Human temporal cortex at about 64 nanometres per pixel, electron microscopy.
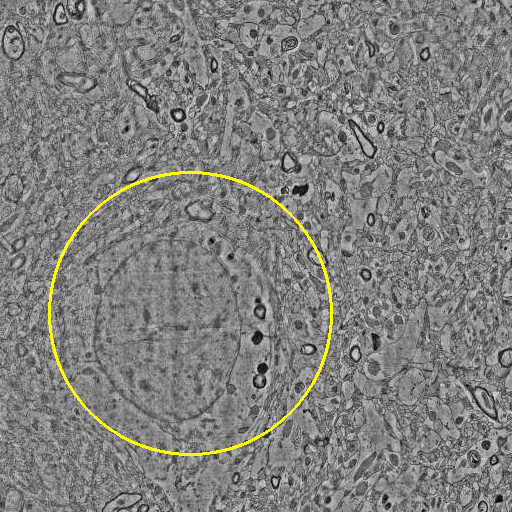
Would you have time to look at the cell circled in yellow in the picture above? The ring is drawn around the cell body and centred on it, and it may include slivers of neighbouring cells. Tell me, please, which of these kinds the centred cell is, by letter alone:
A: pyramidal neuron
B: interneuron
A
